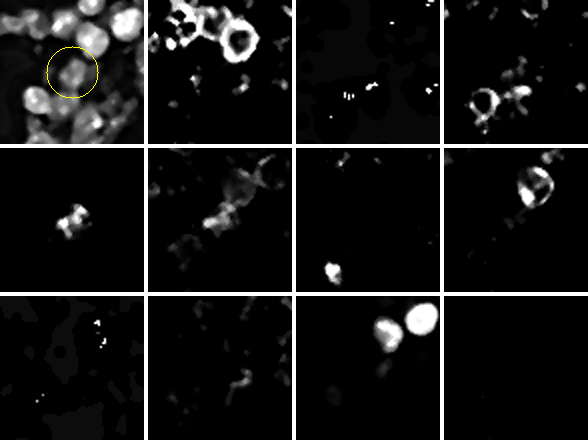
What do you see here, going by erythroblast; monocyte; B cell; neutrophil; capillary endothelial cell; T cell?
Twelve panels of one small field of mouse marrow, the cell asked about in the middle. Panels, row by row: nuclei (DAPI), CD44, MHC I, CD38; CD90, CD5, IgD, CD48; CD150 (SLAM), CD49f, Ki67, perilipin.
I see a T cell.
